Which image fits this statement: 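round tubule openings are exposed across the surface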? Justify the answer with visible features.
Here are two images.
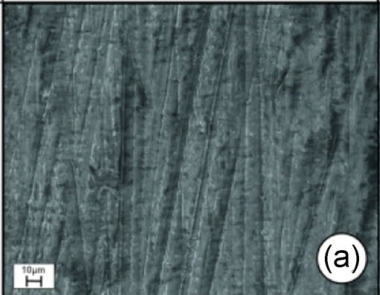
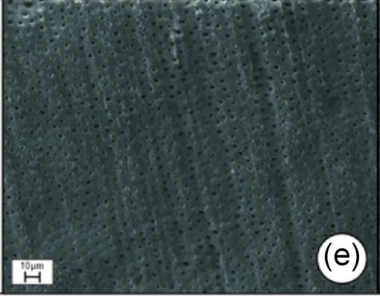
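Second image: many small round dark openings dot the surface. First image: only parallel scratch lines, no openings visible.
Answer: the second image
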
